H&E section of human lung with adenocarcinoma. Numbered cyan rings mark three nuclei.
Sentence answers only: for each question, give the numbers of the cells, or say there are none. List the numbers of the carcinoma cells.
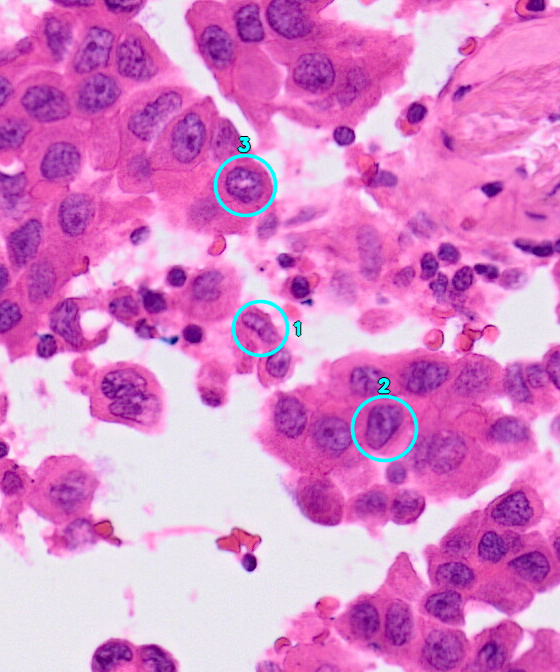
The cells with labels 2 and 3 are carcinoma cells.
